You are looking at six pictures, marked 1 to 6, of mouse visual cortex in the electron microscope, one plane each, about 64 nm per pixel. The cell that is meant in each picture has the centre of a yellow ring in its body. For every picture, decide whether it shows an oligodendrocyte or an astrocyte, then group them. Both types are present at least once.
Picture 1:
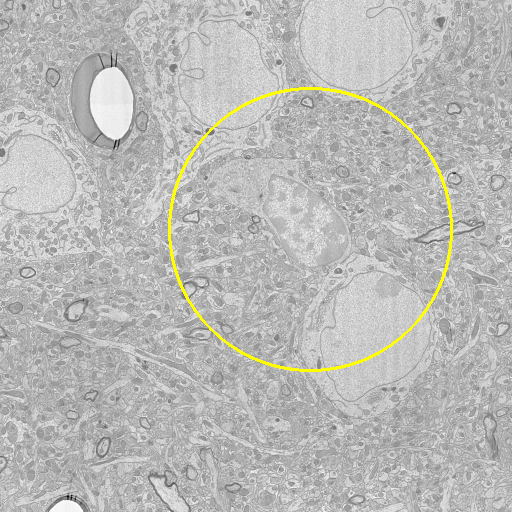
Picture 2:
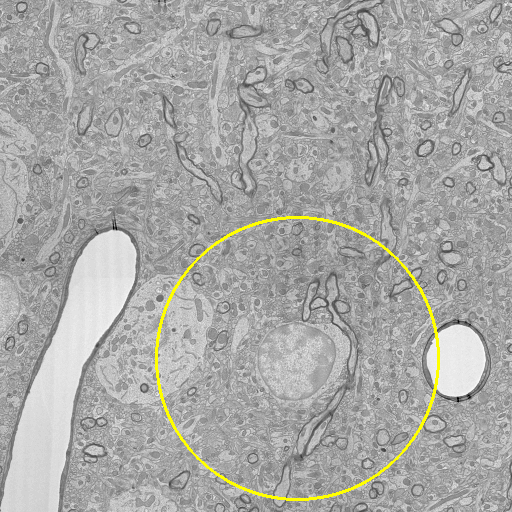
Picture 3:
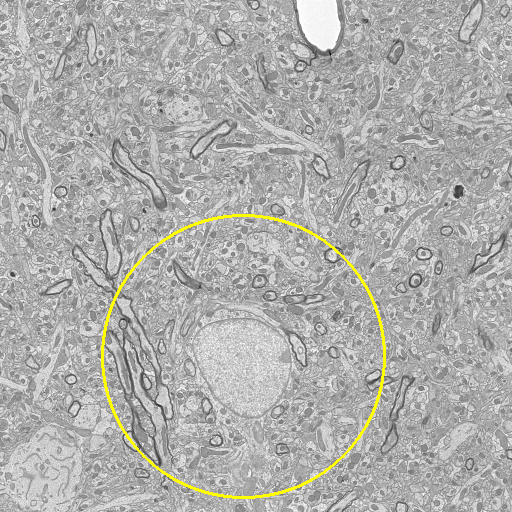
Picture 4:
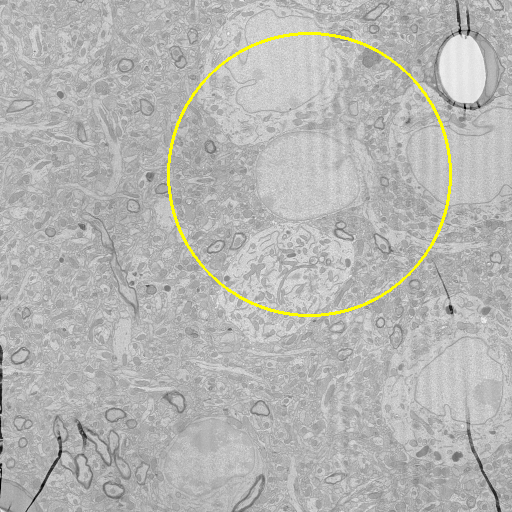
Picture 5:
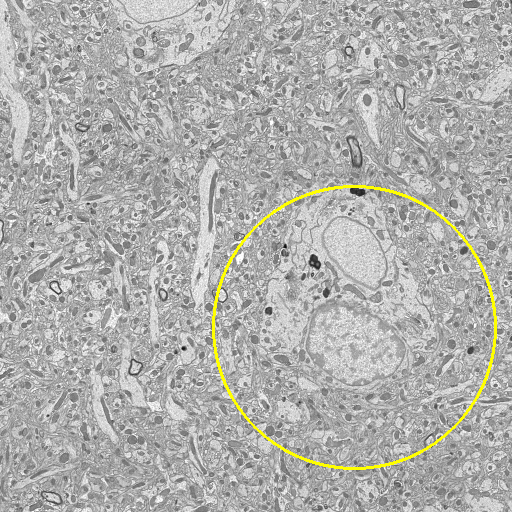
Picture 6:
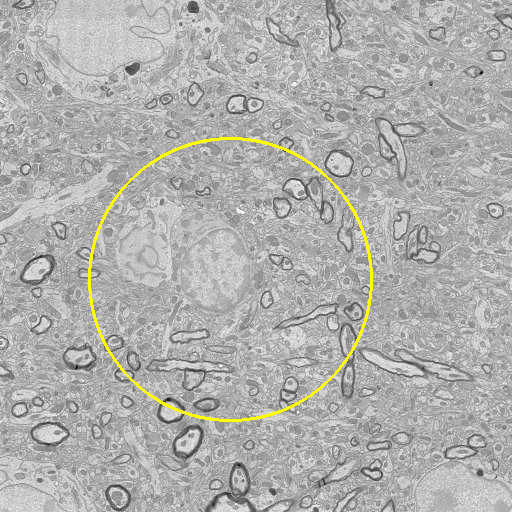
Pictures 1, 2, 5 and 6 show oligodendrocytes; pictures 3 and 4 show astrocytes.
